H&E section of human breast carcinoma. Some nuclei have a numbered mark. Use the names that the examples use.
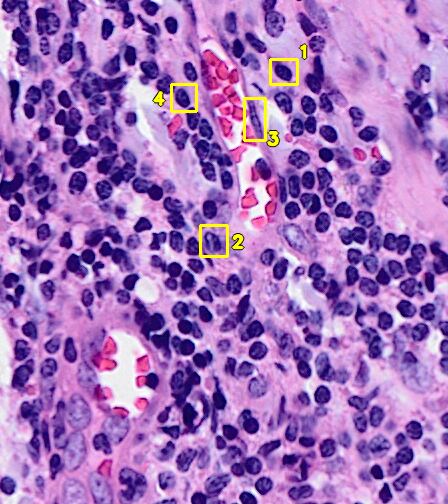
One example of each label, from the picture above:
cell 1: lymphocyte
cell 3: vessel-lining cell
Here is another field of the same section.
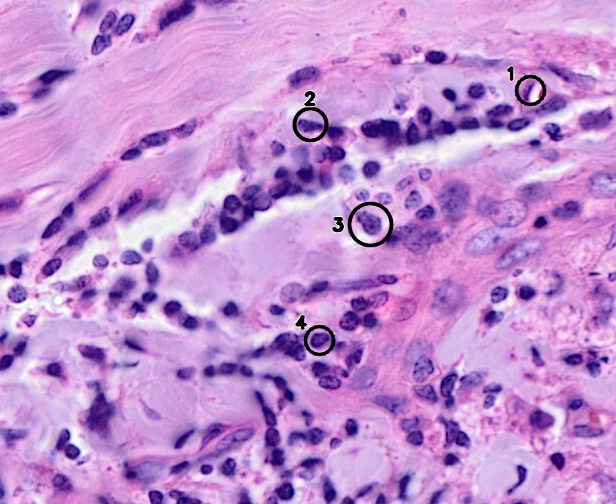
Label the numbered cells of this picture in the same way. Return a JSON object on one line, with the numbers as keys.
{"1": "vessel-lining cell", "2": "lymphocyte", "3": "lymphocyte", "4": "lymphocyte"}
